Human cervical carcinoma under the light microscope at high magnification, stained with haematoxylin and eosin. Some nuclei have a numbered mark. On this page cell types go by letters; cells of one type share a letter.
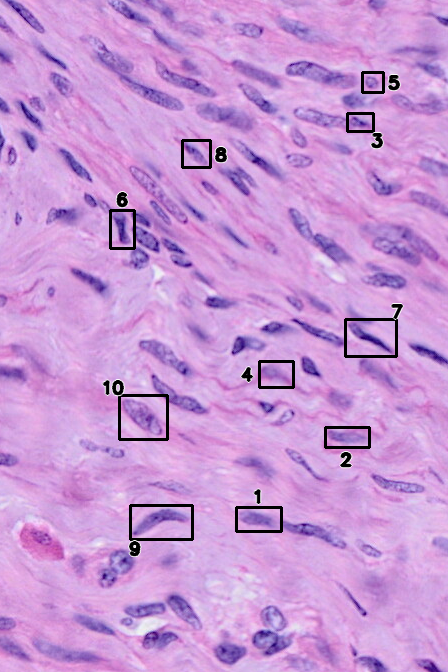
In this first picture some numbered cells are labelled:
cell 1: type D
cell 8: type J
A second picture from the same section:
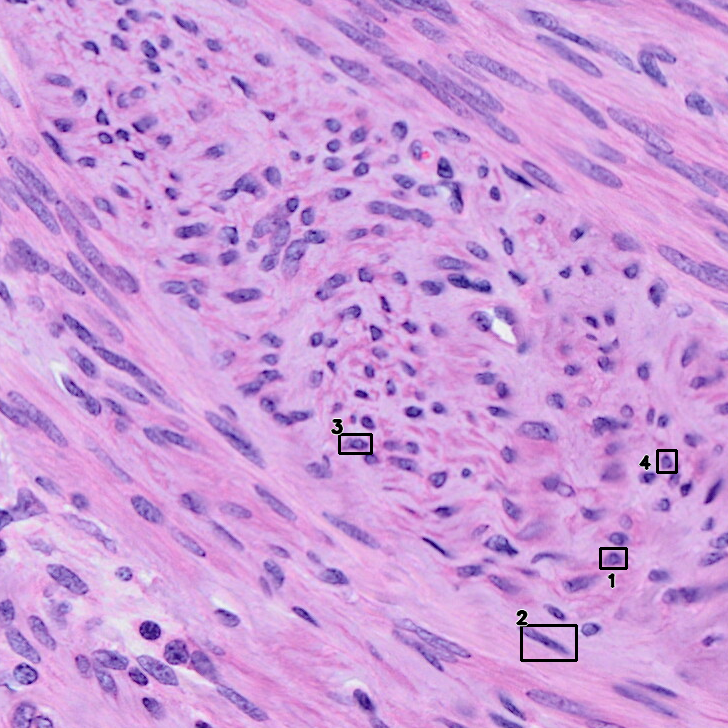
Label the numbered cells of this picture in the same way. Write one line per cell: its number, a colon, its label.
1: type J
2: type D
3: type J
4: type J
